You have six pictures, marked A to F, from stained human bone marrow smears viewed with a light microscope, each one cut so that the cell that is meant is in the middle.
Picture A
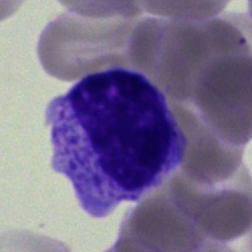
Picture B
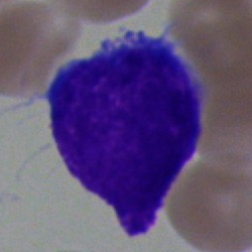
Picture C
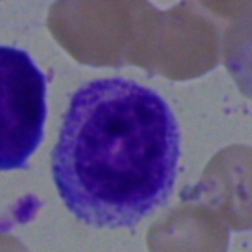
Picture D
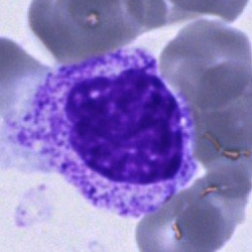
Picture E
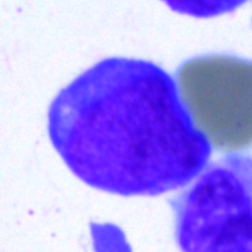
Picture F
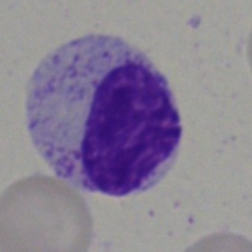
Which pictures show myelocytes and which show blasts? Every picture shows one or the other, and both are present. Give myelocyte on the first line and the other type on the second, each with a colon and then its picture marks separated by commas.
myelocyte: A, C, D, F
blast: B, E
